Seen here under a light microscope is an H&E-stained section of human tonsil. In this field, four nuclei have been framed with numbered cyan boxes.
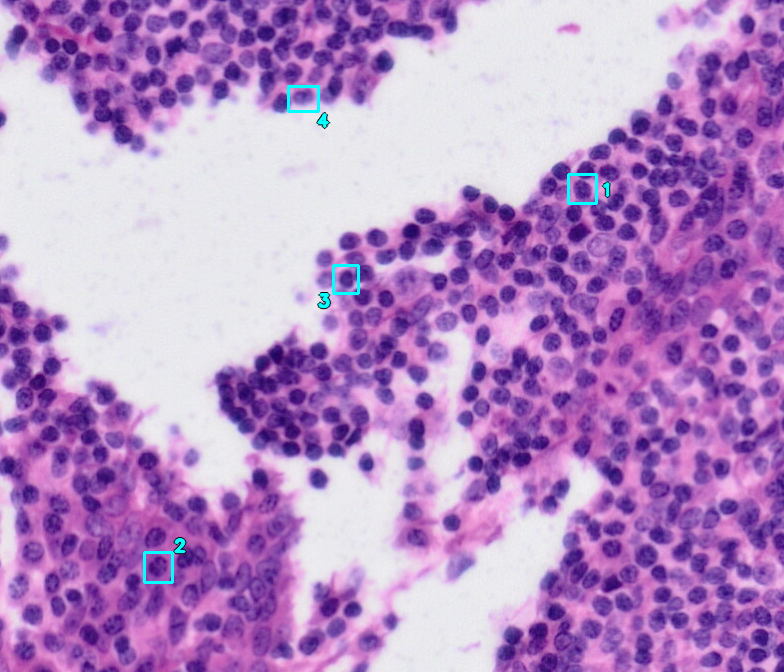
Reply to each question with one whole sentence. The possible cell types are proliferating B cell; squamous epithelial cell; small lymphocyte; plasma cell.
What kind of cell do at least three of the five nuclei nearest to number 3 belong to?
The majority of the five nuclei closest to number 3 belong to small lymphocytes.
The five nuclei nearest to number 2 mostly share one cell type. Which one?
Plasma cells make up most of the five nuclei closest to number 2.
